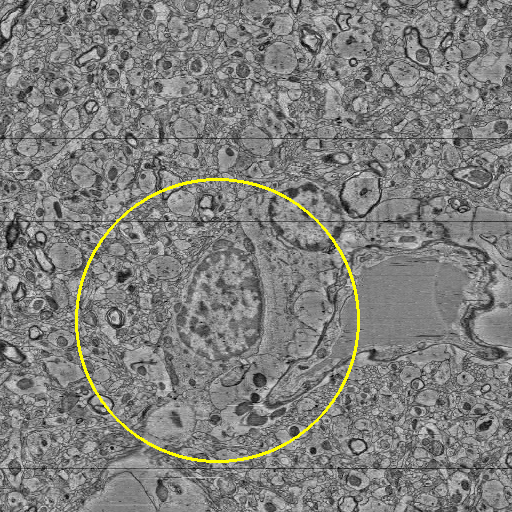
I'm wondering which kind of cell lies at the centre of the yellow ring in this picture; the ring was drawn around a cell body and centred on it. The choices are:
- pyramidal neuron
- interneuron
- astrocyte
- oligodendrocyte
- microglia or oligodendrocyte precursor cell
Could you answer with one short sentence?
At the centre of the ring lies an oligodendrocyte.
